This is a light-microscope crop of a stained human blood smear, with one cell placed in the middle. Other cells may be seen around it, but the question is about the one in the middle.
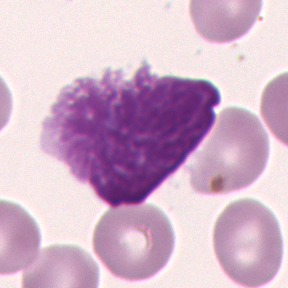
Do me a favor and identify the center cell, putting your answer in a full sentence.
At the center of the crop sits a smudge cell.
